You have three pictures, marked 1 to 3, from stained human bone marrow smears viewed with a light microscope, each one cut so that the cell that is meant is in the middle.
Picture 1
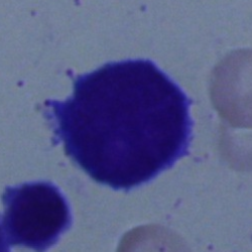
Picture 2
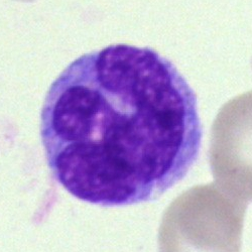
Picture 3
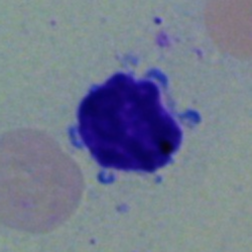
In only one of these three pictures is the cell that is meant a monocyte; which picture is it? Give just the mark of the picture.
2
